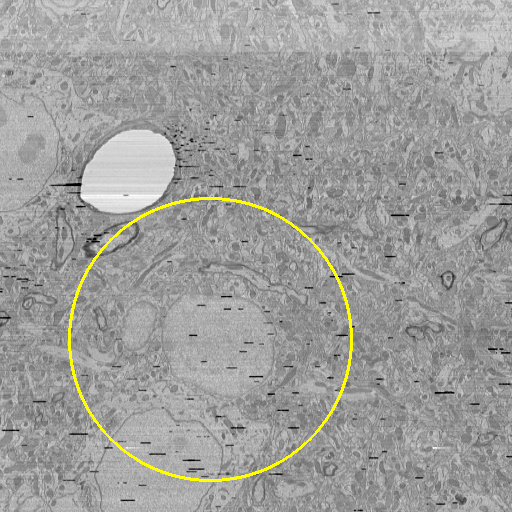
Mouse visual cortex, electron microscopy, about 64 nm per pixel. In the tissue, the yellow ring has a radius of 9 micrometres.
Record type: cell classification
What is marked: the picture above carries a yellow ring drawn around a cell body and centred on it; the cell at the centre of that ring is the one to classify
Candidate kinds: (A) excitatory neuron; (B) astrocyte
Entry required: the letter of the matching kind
B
